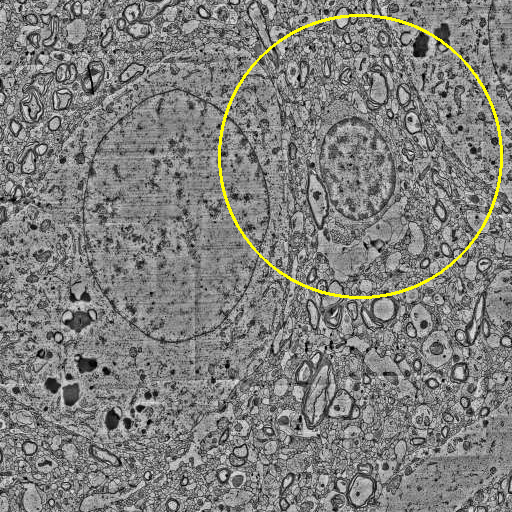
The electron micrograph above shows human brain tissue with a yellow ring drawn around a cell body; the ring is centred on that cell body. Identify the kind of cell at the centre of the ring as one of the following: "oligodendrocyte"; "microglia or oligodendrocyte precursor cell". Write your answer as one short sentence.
The cell at the centre of the ring is an oligodendrocyte.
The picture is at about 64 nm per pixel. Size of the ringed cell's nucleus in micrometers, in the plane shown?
About 6 by 5 micrometres in this plane.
